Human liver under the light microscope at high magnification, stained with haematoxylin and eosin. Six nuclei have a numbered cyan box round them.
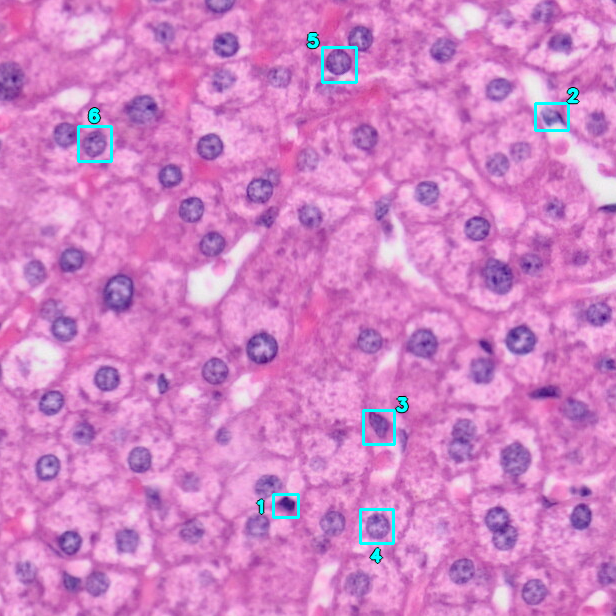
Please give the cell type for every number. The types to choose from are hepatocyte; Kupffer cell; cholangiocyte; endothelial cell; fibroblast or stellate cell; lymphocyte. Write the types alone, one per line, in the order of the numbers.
fibroblast or stellate cell
endothelial cell
Kupffer cell
hepatocyte
hepatocyte
hepatocyte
